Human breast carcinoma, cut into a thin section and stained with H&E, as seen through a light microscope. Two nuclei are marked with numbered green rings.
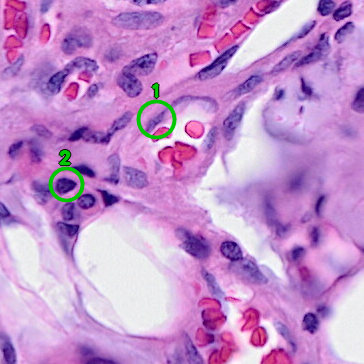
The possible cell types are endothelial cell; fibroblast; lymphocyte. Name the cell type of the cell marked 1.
endothelial cell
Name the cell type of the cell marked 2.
lymphocyte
